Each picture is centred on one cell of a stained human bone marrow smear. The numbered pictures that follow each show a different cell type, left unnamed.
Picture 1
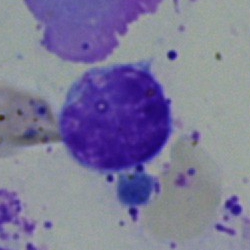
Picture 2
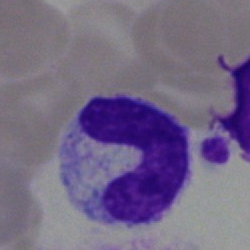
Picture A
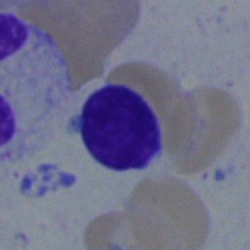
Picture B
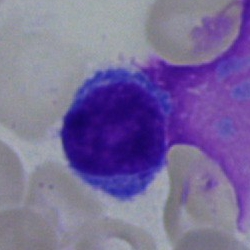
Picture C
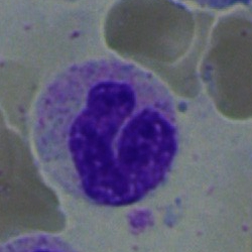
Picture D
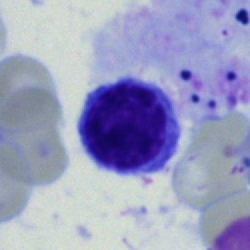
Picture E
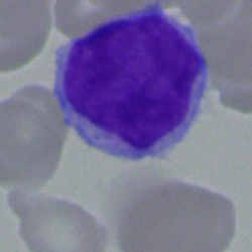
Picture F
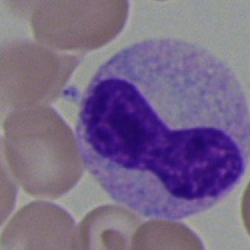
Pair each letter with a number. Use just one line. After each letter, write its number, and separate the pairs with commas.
A 1, B 1, C 2, D 1, E 1, F 2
